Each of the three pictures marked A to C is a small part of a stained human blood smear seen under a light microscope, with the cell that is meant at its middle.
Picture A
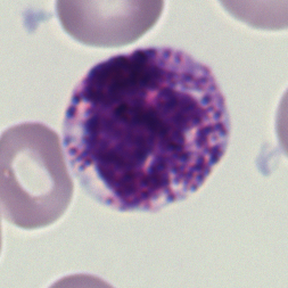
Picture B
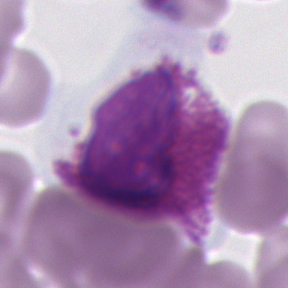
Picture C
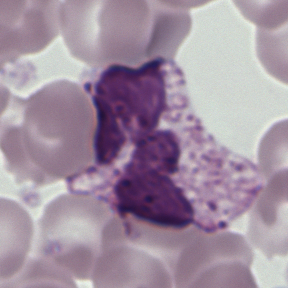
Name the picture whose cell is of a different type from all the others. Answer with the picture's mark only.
B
